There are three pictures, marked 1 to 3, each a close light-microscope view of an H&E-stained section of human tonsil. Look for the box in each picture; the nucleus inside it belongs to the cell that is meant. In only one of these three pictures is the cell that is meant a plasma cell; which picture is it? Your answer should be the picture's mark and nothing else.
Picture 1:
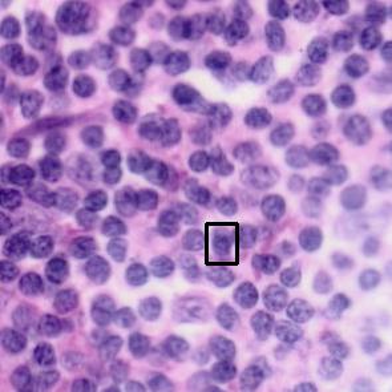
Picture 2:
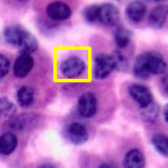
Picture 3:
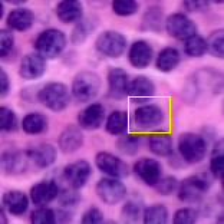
2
